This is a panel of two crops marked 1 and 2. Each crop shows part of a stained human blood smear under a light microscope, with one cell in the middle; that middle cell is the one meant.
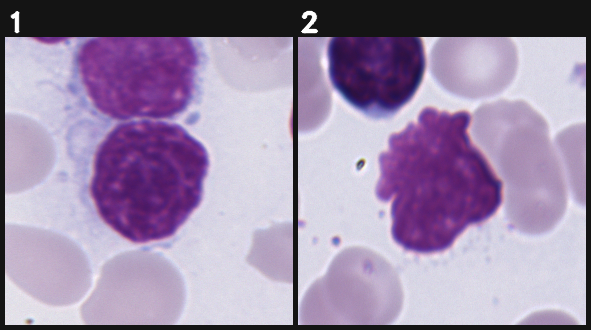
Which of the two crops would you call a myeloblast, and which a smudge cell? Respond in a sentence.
The cell in crop 1 is a myeloblast, and the one in crop 2 is a smudge cell.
